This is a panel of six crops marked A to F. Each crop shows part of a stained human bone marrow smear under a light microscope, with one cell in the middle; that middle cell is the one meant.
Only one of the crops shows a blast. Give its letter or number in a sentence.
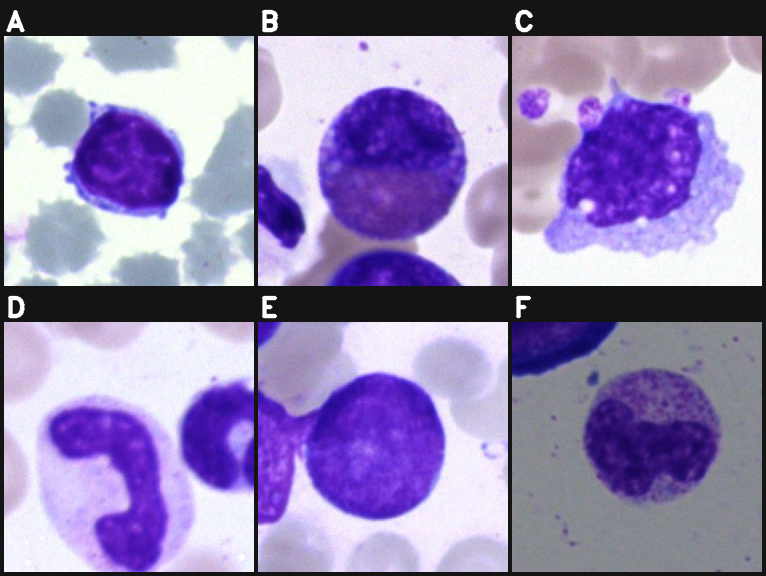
The crop that has a blast in the middle is crop E.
